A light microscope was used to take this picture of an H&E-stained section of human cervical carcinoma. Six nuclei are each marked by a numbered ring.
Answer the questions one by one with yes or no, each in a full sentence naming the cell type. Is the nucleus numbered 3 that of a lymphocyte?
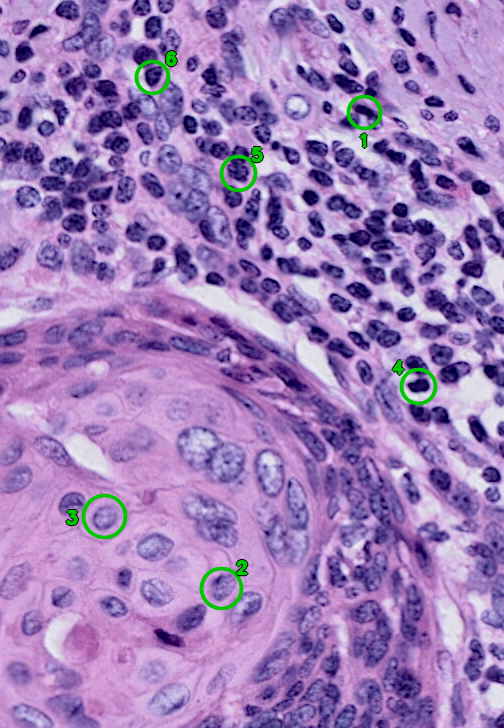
No, the cell numbered 3 is a squamous carcinoma cell rather than a lymphocyte.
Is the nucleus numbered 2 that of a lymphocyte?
No, cell 2 counts as a squamous carcinoma cell rather than as a lymphocyte.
